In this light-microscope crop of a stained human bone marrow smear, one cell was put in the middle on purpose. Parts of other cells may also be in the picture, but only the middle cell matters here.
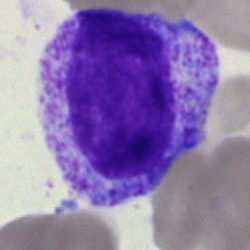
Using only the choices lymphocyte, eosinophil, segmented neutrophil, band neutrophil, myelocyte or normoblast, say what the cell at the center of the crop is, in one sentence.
The crop's centre is taken up by a myelocyte.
